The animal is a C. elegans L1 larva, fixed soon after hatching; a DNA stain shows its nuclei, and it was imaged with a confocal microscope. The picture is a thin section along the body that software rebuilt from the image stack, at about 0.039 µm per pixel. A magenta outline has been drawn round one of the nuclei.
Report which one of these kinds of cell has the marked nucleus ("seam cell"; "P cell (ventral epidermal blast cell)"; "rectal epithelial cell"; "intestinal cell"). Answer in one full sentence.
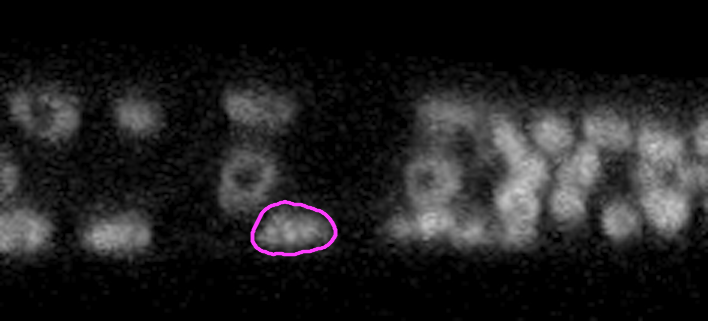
This is the nucleus of a seam cell.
